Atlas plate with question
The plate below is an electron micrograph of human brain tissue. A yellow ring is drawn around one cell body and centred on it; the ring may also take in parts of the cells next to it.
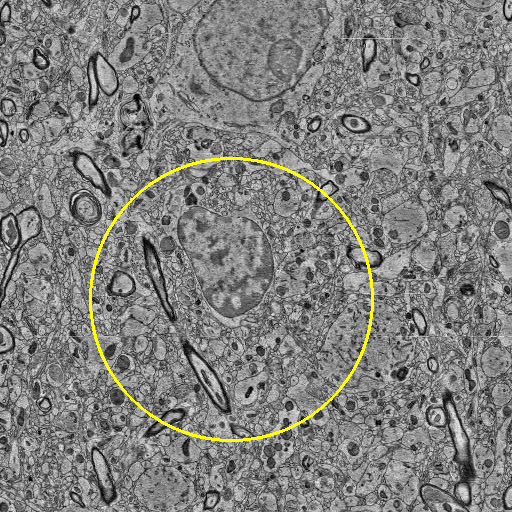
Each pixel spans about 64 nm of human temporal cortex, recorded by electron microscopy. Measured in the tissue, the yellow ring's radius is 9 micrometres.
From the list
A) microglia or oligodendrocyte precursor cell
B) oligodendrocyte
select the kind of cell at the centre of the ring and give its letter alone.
A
